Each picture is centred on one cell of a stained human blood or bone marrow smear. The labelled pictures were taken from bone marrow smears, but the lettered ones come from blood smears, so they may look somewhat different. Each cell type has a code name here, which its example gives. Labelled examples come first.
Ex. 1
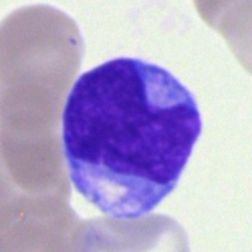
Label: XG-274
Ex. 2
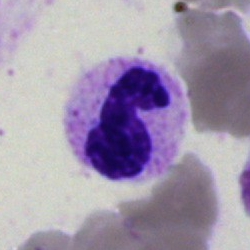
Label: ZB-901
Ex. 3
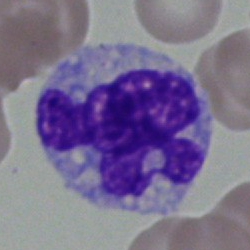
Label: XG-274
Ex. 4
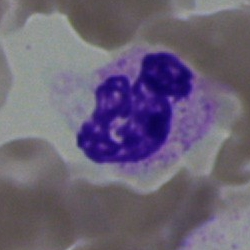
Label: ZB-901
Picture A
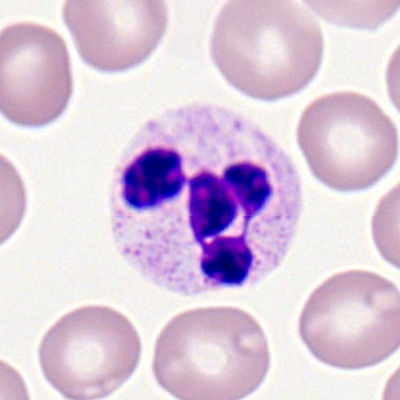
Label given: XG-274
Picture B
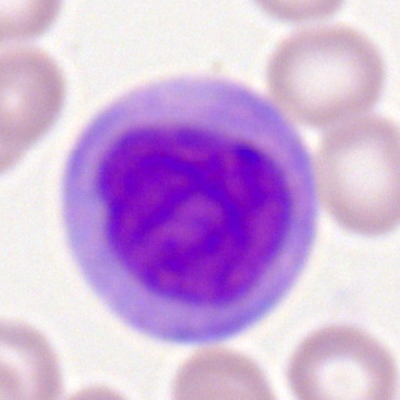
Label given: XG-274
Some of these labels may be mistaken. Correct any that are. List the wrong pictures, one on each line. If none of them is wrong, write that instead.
A: not XG-274 but ZB-901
